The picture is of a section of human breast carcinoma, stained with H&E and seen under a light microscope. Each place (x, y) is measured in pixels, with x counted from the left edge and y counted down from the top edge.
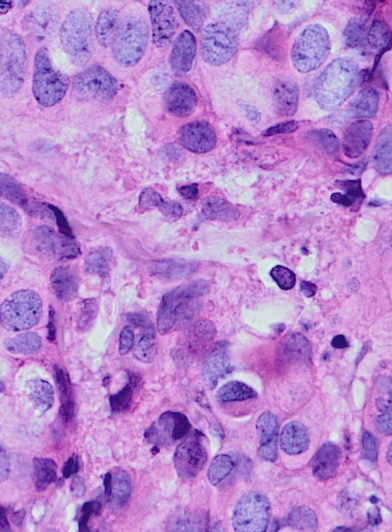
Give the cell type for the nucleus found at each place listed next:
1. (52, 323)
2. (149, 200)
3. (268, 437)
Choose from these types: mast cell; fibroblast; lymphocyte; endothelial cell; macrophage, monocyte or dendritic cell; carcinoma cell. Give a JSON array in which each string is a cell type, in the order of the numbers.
["carcinoma cell", "macrophage, monocyte or dendritic cell", "carcinoma cell"]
